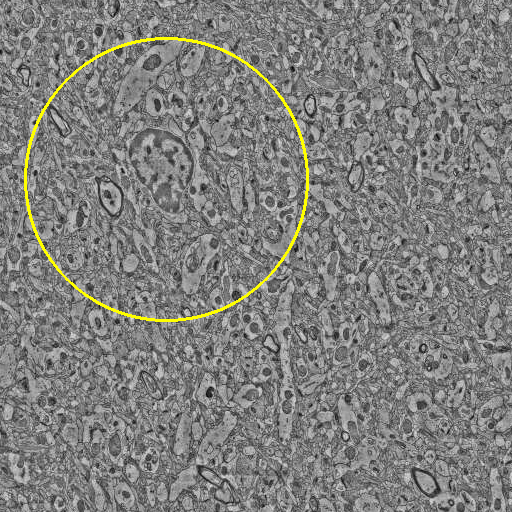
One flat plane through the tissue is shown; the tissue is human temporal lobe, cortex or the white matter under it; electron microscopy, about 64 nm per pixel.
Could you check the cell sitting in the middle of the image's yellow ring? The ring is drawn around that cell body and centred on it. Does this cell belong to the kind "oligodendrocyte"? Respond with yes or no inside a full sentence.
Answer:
No, this cell in the middle of the yellow ring is one of a different kind.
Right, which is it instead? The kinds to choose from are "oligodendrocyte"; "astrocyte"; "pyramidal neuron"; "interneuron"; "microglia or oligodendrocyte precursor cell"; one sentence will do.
The correct answer is that the cell is a microglial cell or oligodendrocyte precursor cell.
